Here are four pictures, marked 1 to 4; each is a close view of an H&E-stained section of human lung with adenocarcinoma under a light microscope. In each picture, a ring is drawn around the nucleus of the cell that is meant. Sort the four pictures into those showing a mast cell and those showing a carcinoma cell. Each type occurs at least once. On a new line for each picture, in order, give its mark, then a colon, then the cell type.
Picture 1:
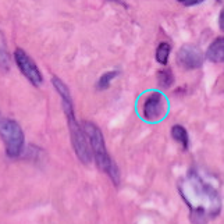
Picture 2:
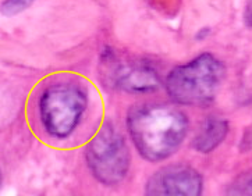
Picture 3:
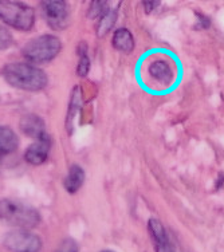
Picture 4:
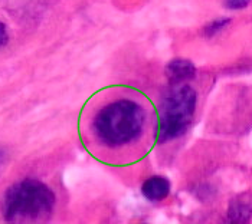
1: mast cell
2: carcinoma cell
3: mast cell
4: carcinoma cell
